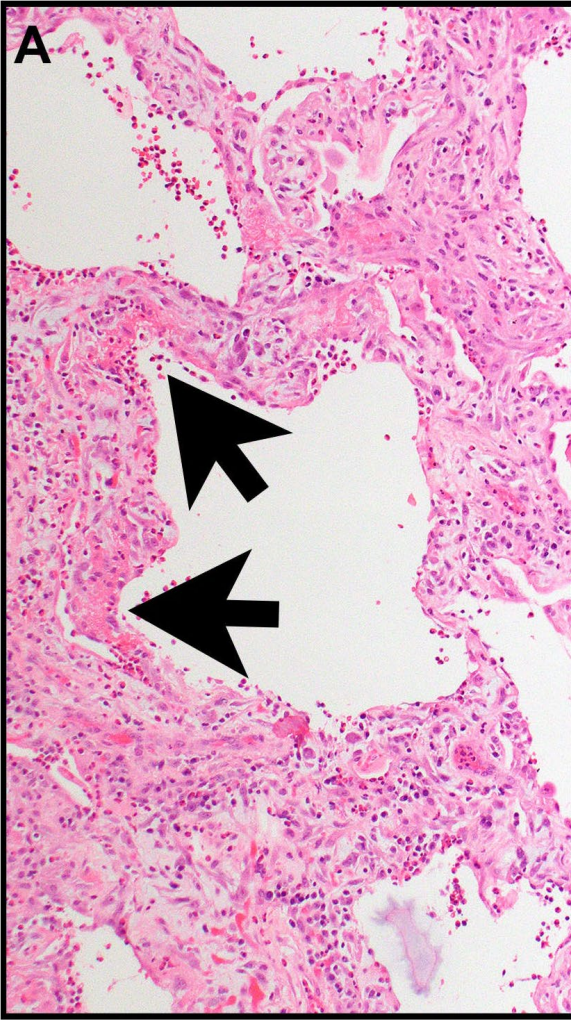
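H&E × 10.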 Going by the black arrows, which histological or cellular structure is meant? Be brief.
Hyaline membranes.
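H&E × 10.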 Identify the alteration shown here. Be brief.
The interalveolar septa are thickened.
